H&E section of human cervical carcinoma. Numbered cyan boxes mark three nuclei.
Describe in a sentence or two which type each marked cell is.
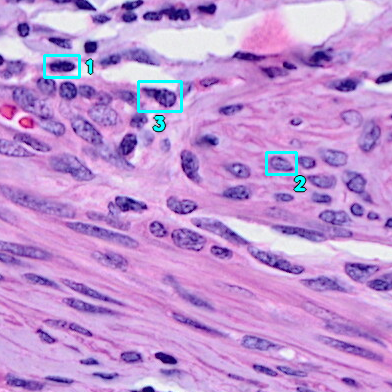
Cell 1 is a lymphocyte, cell 2 is a smooth muscle cell and cell 3 is a lymphocyte.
